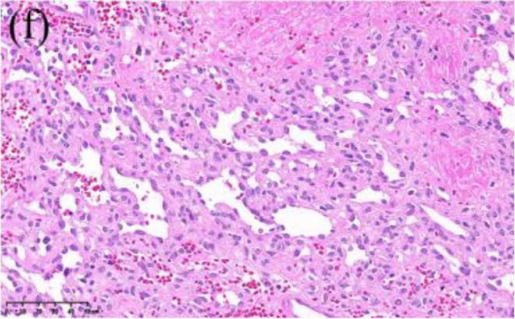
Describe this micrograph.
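Here the tumor consists of spindle-shaped cells set in a pink fibrous stroma. The cells have elongated to oval nuclei with fairly uniform, bland chromatin and pale pink cytoplasm. They are arranged in loose groups and streams, with small slit-like lumens opening between them, giving a microtubular look. A few red blood cells lie in some of these spaces, and denser pink collagen is seen toward the upper right.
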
